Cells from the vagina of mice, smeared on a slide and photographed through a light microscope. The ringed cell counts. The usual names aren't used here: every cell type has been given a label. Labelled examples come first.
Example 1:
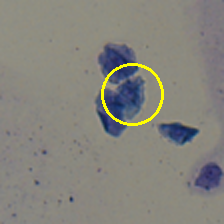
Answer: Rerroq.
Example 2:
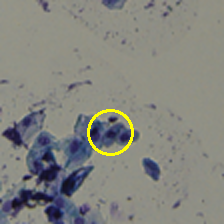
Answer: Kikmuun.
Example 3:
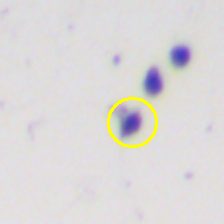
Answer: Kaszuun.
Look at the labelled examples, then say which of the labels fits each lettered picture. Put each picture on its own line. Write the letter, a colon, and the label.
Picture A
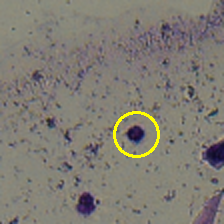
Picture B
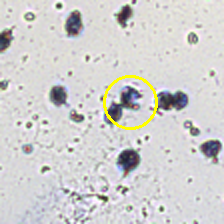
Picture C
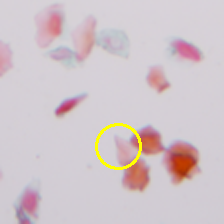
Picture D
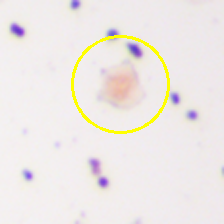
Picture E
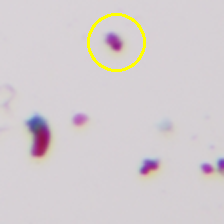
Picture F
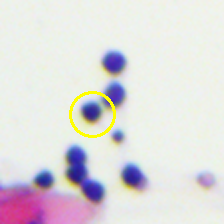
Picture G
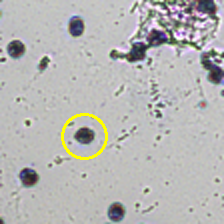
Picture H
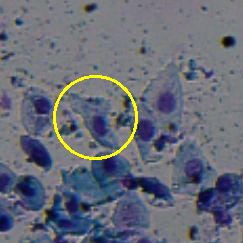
A: Kaszuun.
B: Kaszuun.
C: Rerroq.
D: Rerroq.
E: Kaszuun.
F: Kaszuun.
G: Kaszuun.
H: Kikmuun.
